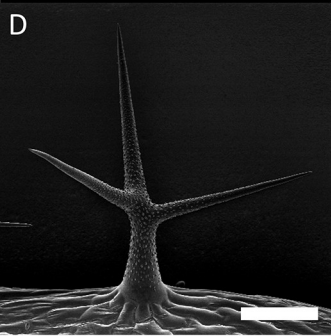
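A single leaf trichome stands up from the epidermis on a stout stalk whose base is surrounded by radiating epidermal cells. The stalk splits into three long, straight, tapering branches that spread apart, and the trichome surface is studded with small papillae.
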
